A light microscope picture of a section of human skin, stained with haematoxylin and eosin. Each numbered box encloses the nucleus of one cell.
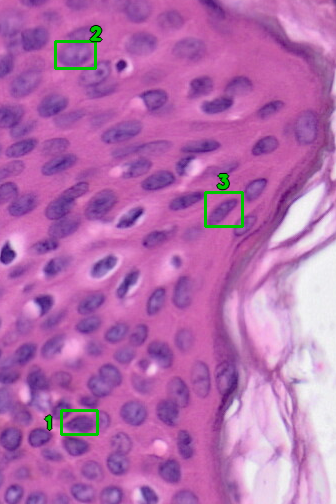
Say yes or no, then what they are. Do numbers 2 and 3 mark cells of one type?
Yes, cells 2 and 3 have the same identity; both are suprabasal keratinocytes.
